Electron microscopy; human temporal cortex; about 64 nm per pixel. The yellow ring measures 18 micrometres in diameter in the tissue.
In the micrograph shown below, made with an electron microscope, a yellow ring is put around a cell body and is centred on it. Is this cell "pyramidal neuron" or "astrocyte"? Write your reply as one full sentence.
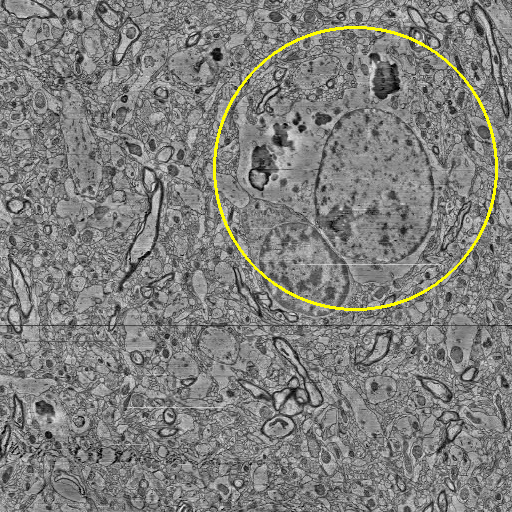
In the micrograph, an astrocyte is the cell at the centre of the yellow ring.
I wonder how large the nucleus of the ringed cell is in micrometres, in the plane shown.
Roughly 10 micrometres by 8 micrometres, in this plane.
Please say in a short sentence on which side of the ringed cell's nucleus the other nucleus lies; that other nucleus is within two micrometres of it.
The other nucleus is situated to the lower left of it.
